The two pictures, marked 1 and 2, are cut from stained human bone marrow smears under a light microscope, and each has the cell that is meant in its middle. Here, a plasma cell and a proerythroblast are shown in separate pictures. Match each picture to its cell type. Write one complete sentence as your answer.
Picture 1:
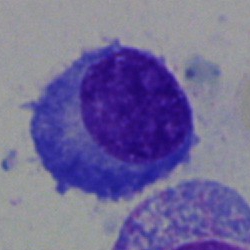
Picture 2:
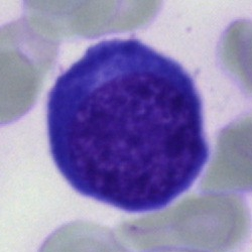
It is picture 1 that shows a plasma cell, and picture 2 that shows a proerythroblast.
